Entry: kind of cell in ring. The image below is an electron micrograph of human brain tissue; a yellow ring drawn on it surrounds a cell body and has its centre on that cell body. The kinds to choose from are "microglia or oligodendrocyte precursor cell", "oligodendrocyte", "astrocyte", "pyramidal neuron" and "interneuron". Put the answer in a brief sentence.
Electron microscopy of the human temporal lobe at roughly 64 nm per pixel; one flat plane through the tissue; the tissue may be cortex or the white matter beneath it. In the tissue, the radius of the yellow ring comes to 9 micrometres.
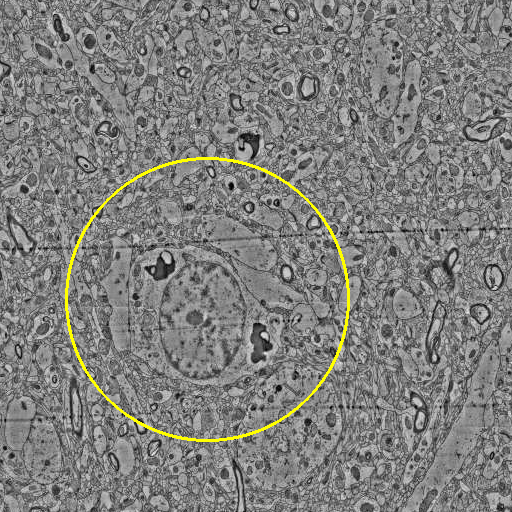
The ring has been drawn around an interneuron.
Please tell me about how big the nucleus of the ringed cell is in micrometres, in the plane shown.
Approximately 7 x 6 micrometres in this plane.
